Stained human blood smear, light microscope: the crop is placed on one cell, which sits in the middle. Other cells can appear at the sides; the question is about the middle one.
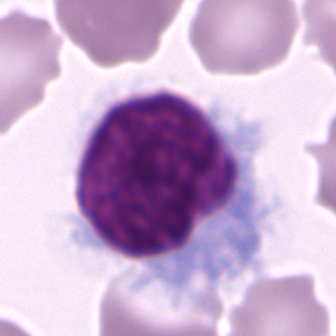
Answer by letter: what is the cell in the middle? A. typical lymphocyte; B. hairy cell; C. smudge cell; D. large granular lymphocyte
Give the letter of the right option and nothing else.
B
